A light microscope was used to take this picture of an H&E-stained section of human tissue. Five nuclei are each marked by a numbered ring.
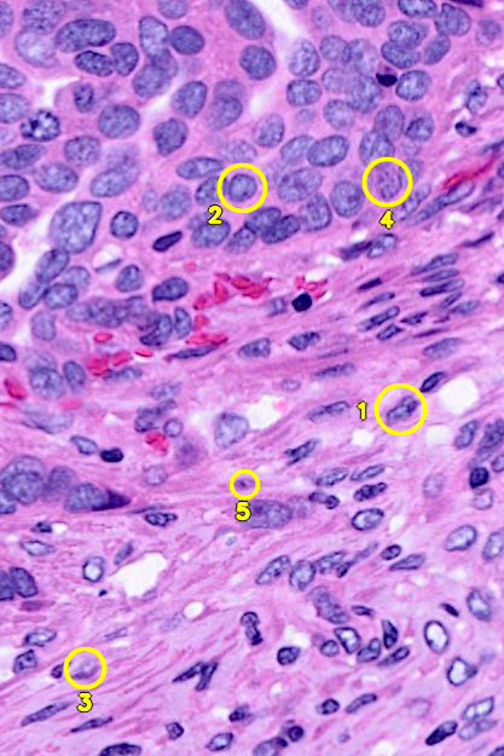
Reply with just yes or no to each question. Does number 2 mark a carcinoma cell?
yes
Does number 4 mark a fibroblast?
no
